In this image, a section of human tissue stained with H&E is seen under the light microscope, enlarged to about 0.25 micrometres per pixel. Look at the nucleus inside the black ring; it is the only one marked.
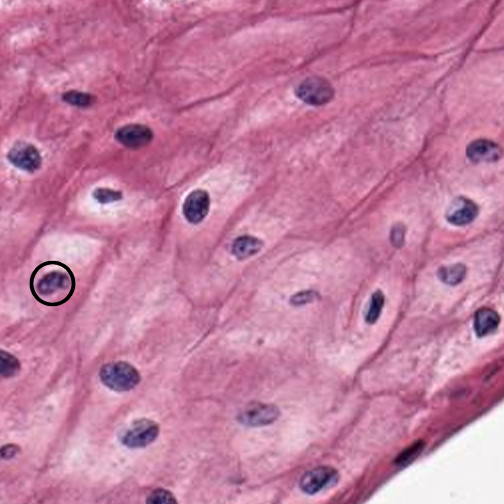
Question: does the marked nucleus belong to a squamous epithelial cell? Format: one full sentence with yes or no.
Yes, the marked nucleus is the nucleus belonging to a squamous epithelial cell.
